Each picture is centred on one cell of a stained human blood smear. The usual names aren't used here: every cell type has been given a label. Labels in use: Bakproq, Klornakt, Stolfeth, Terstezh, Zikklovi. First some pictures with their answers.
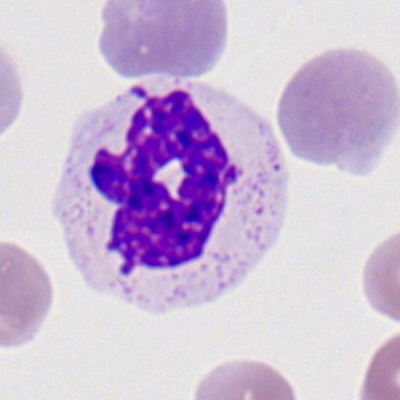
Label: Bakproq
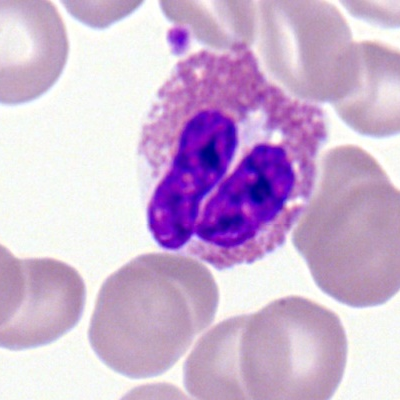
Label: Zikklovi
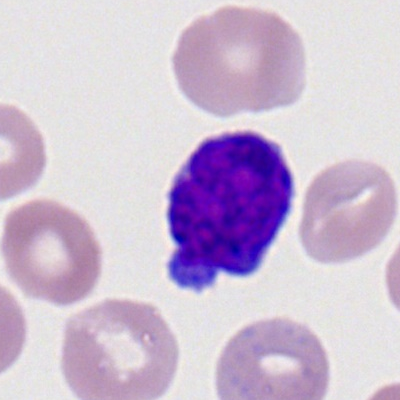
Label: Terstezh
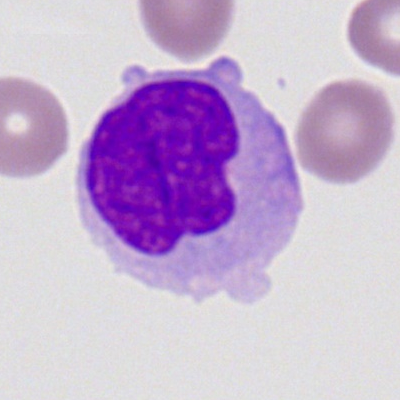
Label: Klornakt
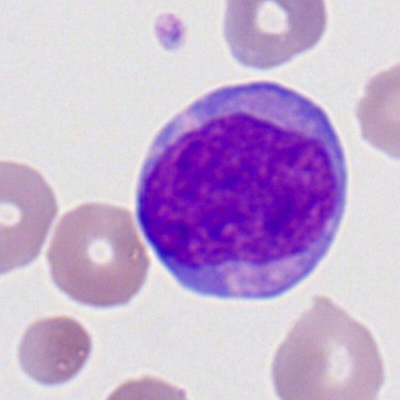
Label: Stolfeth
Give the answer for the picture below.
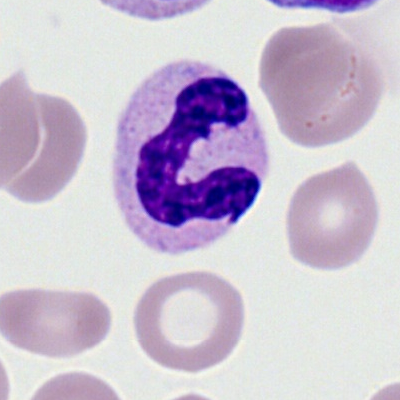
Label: Bakproq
